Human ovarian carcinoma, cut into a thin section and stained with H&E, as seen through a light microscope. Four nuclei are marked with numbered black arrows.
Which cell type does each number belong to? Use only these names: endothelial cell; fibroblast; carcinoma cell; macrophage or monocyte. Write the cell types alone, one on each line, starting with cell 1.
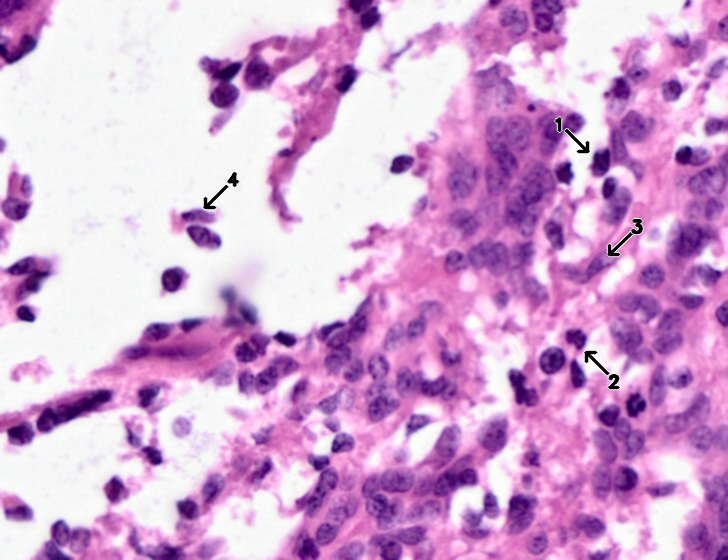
carcinoma cell
carcinoma cell
endothelial cell
carcinoma cell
